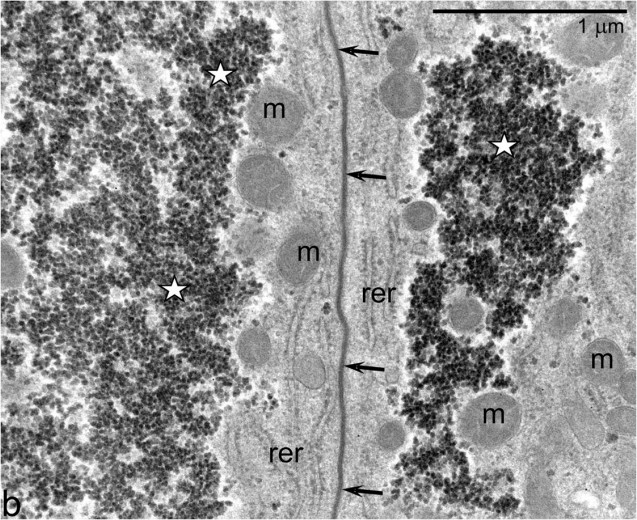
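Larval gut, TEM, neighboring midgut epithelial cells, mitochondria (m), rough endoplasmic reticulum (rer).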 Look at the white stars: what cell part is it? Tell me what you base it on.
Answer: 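Large irregular masses of small, very electron-dense granules. The granule masses lie free in the cytoplasm among mitochondria. So: glycogen-like particles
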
